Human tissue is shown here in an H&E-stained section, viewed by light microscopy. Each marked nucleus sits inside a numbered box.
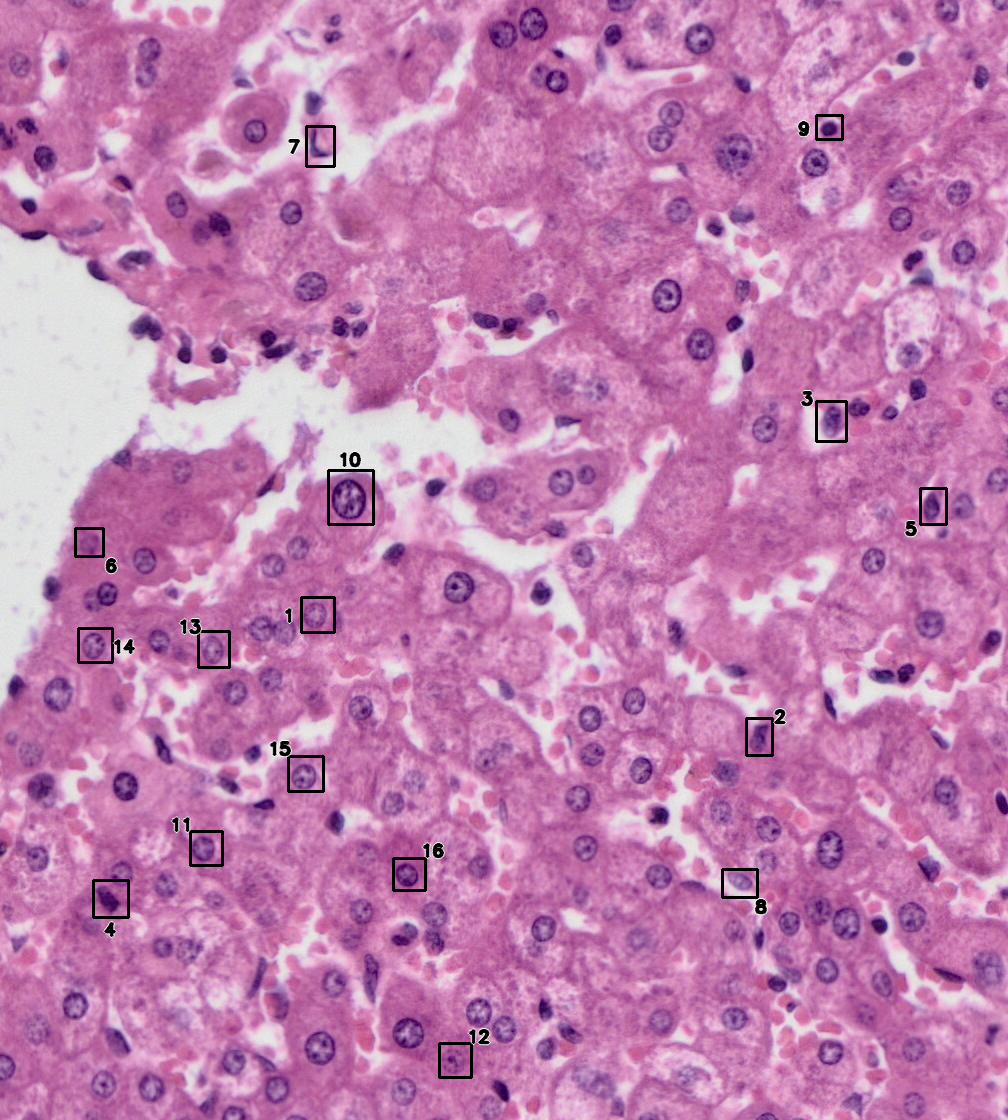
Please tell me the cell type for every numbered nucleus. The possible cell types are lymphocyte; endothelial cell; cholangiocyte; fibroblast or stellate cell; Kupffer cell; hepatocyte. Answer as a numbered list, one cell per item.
1. hepatocyte
2. fibroblast or stellate cell
3. Kupffer cell
4. fibroblast or stellate cell
5. Kupffer cell
6. hepatocyte
7. fibroblast or stellate cell
8. Kupffer cell
9. lymphocyte
10. hepatocyte
11. hepatocyte
12. hepatocyte
13. hepatocyte
14. hepatocyte
15. hepatocyte
16. hepatocyte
